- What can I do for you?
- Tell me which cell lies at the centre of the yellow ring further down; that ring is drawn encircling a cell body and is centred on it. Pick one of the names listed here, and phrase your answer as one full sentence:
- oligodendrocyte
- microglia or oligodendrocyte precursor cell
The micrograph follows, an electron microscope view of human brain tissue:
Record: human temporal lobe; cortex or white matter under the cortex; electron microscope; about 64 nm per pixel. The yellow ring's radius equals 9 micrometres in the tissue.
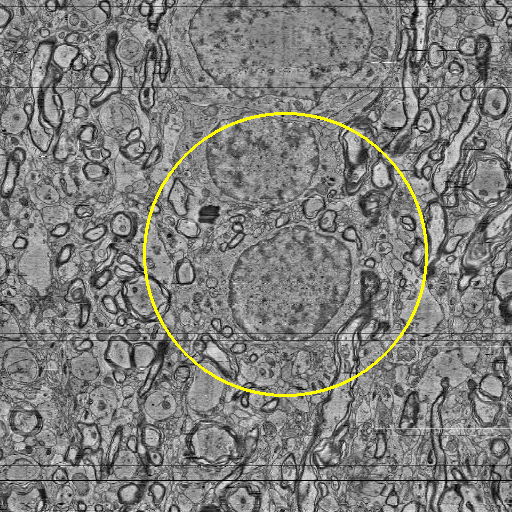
The cell whose body lies at the centre of the yellow ring is an oligodendrocyte.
